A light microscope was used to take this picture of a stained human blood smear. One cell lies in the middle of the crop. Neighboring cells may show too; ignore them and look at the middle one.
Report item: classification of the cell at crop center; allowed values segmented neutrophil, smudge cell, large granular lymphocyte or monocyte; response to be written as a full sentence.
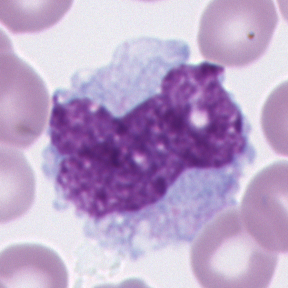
In the middle of this smear crop is a monocyte.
